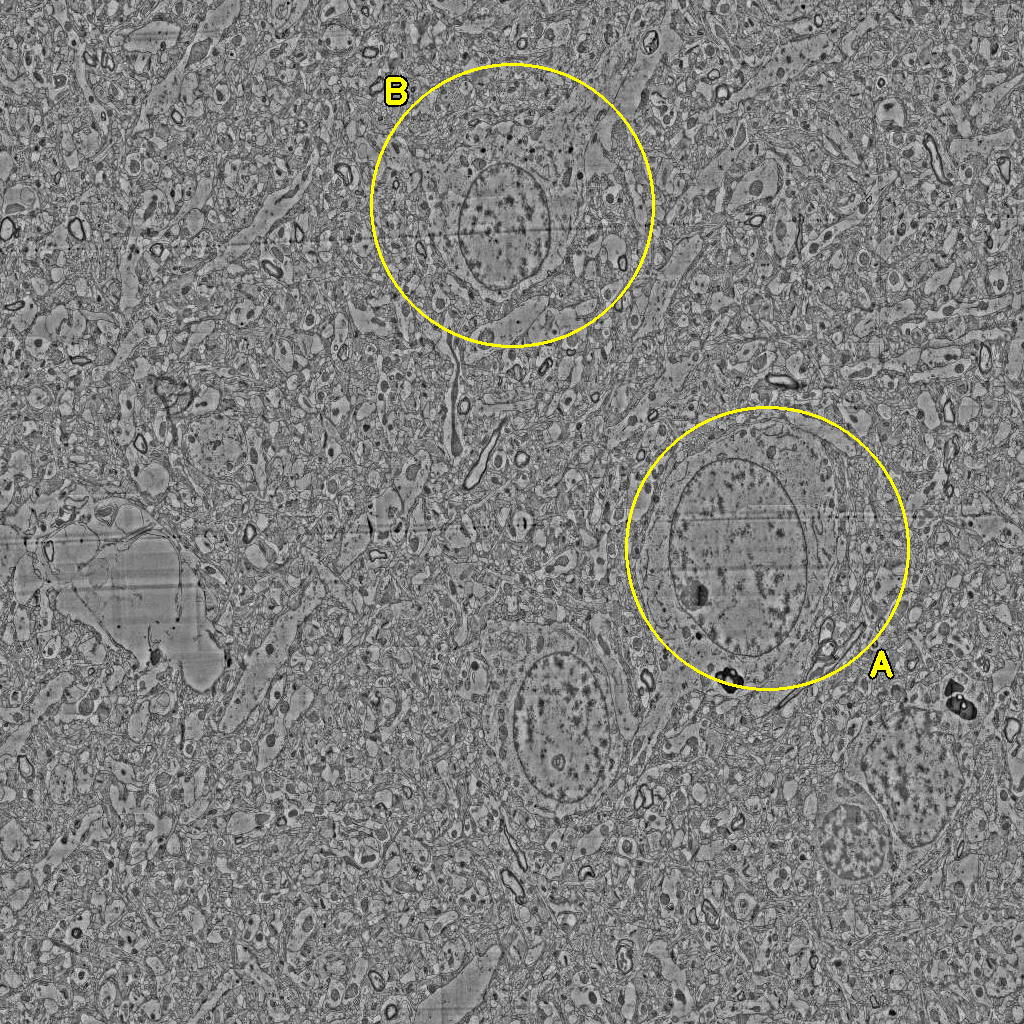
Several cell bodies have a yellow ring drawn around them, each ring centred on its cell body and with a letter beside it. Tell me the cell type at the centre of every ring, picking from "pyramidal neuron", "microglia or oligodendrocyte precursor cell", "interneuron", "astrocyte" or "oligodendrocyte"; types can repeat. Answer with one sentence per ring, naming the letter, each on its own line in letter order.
In ring A, the central cell is a pyramidal neuron.
In ring B, the central cell is a pyramidal neuron.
